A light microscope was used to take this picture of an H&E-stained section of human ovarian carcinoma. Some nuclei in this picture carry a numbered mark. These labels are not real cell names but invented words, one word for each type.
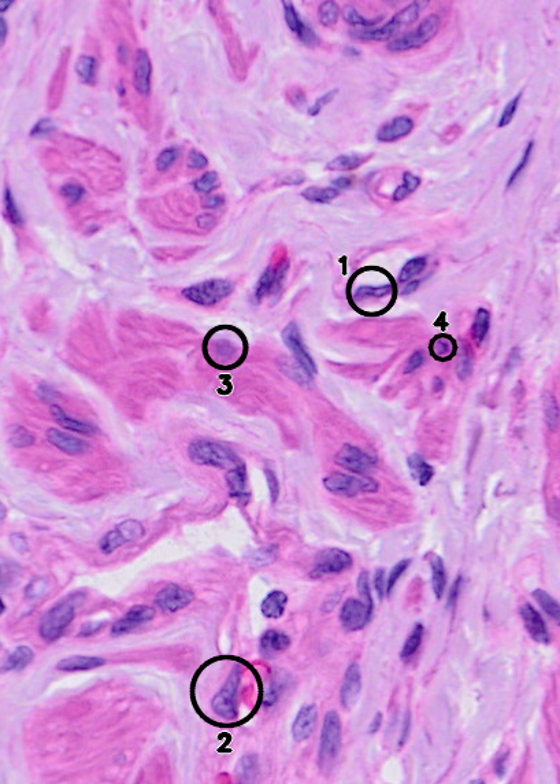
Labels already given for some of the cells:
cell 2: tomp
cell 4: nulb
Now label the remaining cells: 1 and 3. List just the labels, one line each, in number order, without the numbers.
tomp
nulb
